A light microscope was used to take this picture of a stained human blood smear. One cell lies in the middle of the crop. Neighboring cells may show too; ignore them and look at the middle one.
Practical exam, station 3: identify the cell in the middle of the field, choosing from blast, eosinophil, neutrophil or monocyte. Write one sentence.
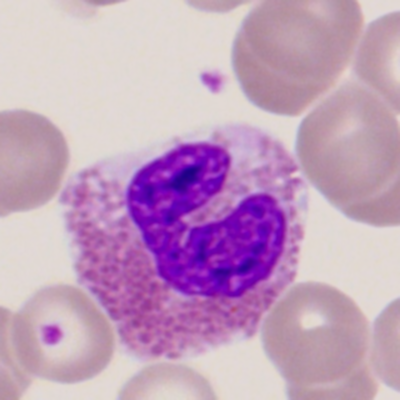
Centrally within this crop lies an eosinophil.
